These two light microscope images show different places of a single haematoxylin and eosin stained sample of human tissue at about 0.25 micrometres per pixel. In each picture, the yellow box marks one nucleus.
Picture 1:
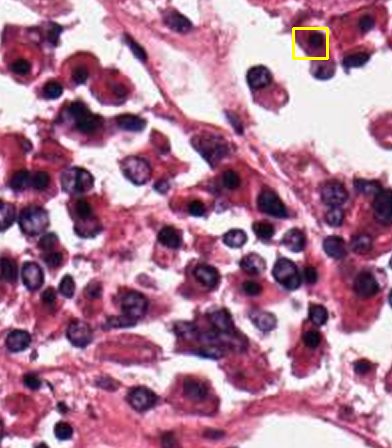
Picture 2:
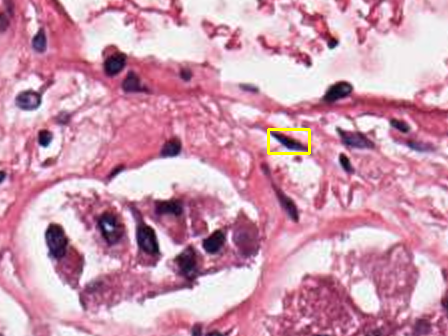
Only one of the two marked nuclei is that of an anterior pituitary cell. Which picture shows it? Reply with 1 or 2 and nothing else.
1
